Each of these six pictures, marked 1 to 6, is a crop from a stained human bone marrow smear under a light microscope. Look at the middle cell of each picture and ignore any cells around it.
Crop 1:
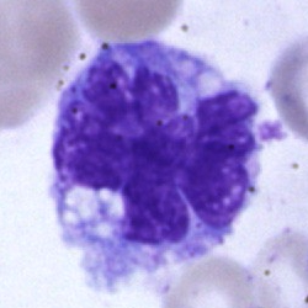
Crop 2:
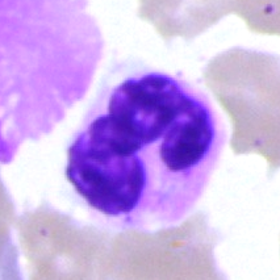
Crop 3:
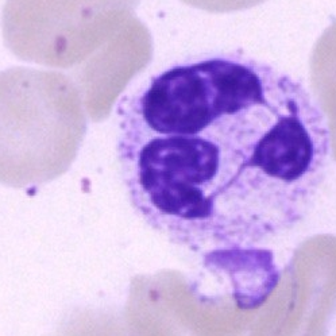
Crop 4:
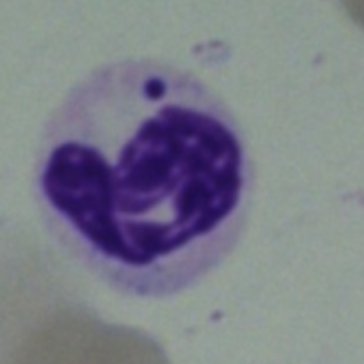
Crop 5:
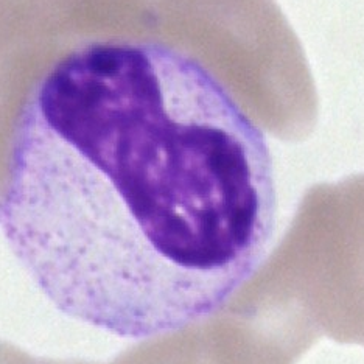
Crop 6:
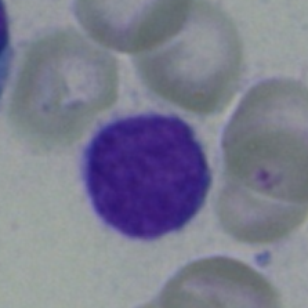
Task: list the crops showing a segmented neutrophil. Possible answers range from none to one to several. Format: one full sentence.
In the series, crops 2, 3 and 4 show segmented neutrophils.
